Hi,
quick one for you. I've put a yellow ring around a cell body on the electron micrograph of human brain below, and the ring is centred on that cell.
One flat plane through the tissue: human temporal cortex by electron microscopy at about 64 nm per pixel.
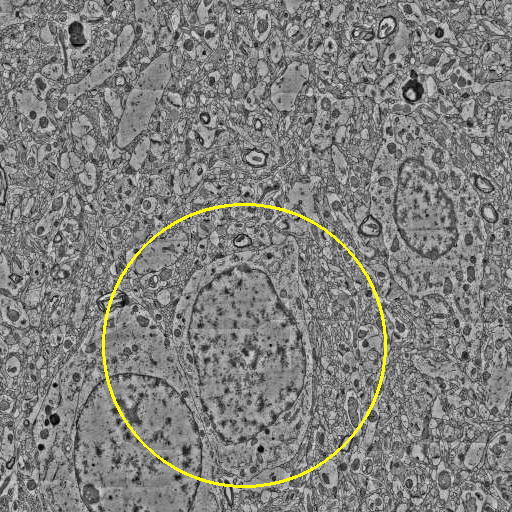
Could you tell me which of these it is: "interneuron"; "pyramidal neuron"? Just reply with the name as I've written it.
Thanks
interneuron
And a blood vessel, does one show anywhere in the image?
No, no vessel appears in the picture.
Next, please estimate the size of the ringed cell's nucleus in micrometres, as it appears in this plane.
The ringed cell's nucleus is about 11 micrometres long and 8 micrometres wide in this plane.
